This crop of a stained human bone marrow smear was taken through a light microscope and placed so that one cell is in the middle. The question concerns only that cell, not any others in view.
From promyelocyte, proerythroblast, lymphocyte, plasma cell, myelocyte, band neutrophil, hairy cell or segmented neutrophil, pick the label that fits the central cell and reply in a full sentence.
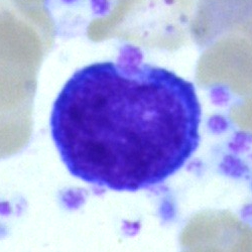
The central cell shown in this smear crop is a proerythroblast.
